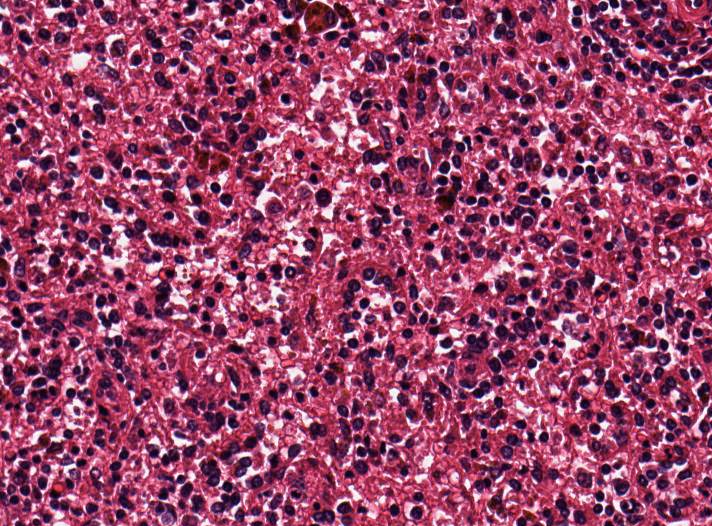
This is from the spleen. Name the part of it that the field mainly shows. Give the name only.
red pulp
